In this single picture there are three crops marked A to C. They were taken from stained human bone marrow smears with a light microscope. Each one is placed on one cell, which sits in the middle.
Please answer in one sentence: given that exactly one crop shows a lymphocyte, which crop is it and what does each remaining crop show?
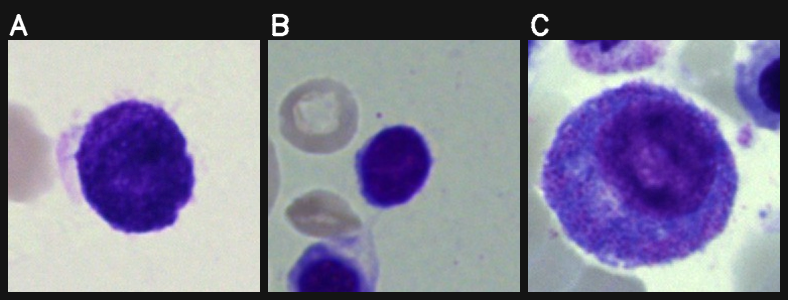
The cell at the centre of crop B is a lymphocyte, while crop A is a blast and crop C is a promyelocyte.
